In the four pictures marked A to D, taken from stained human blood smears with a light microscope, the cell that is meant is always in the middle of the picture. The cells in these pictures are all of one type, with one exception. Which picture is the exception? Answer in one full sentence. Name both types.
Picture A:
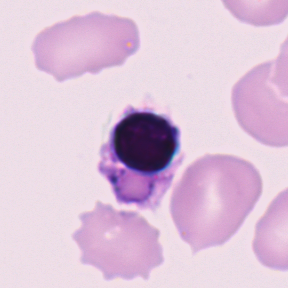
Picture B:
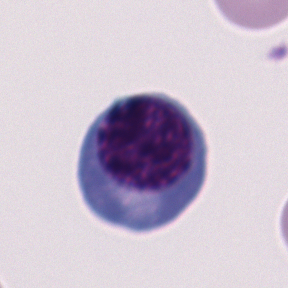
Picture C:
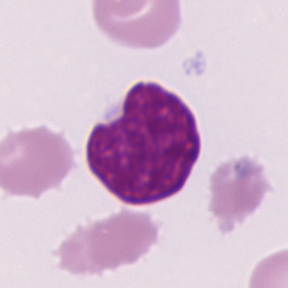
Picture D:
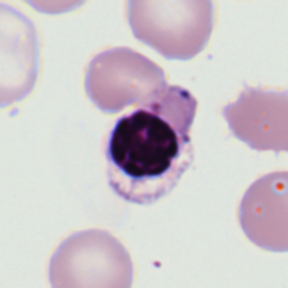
Unlike the rest, which show normoblasts, picture C shows a typical lymphocyte.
